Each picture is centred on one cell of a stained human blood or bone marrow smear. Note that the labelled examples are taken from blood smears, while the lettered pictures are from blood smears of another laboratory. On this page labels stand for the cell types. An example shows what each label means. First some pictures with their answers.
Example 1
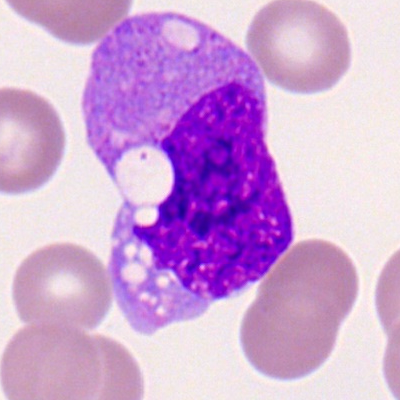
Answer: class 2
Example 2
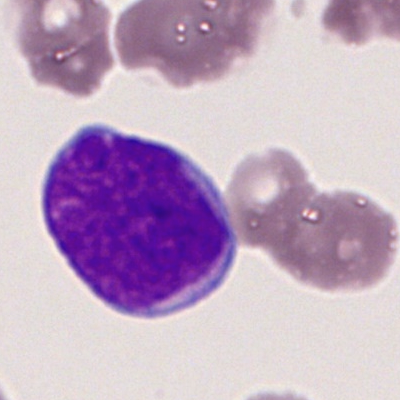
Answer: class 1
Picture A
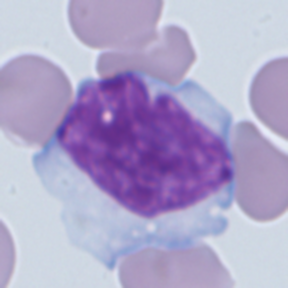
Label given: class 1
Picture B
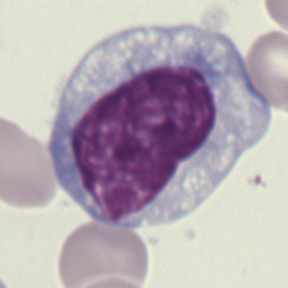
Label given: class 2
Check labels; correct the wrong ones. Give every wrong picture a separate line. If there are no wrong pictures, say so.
None of the labels needs changing.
